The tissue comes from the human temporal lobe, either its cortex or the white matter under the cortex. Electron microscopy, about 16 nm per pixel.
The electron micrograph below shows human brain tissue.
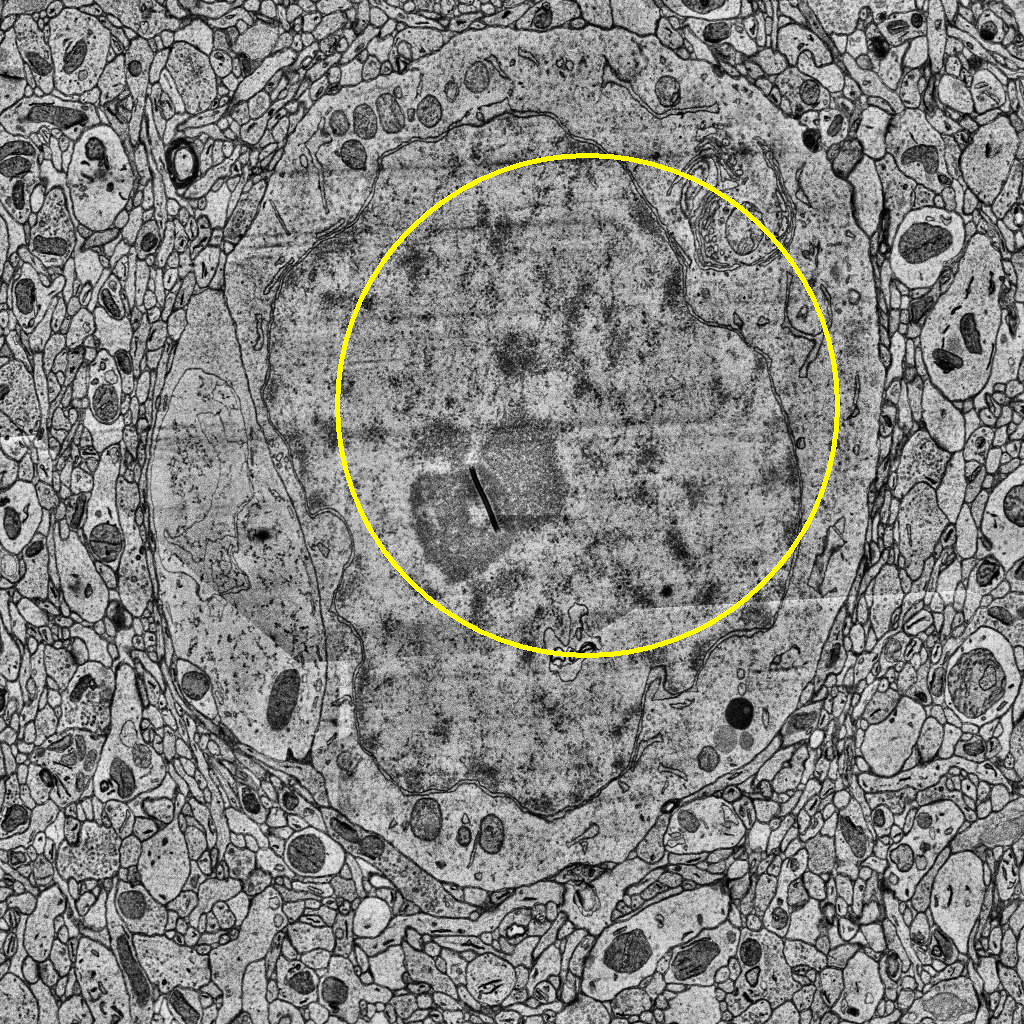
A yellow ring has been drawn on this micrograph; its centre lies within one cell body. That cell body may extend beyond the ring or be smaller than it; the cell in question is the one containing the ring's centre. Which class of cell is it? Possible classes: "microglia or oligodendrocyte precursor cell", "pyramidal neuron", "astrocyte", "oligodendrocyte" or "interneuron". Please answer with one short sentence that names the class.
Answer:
In the centre of the ring sits an interneuron.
